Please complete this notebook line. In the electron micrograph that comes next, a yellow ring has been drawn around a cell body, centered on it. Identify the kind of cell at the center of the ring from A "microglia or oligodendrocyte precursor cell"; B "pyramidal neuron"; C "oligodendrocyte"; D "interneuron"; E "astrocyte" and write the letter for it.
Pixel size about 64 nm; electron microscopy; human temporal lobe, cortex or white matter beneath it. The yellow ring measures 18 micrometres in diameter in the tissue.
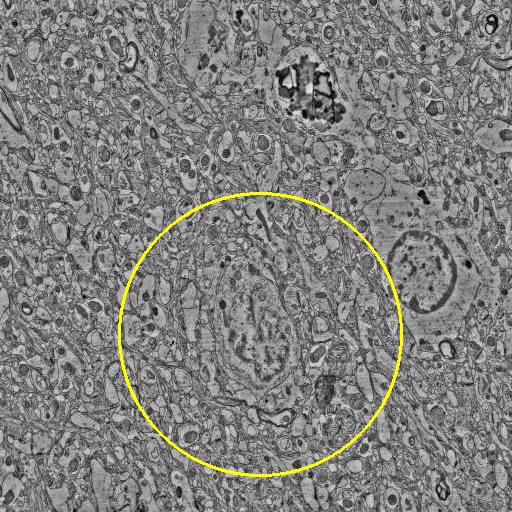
D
